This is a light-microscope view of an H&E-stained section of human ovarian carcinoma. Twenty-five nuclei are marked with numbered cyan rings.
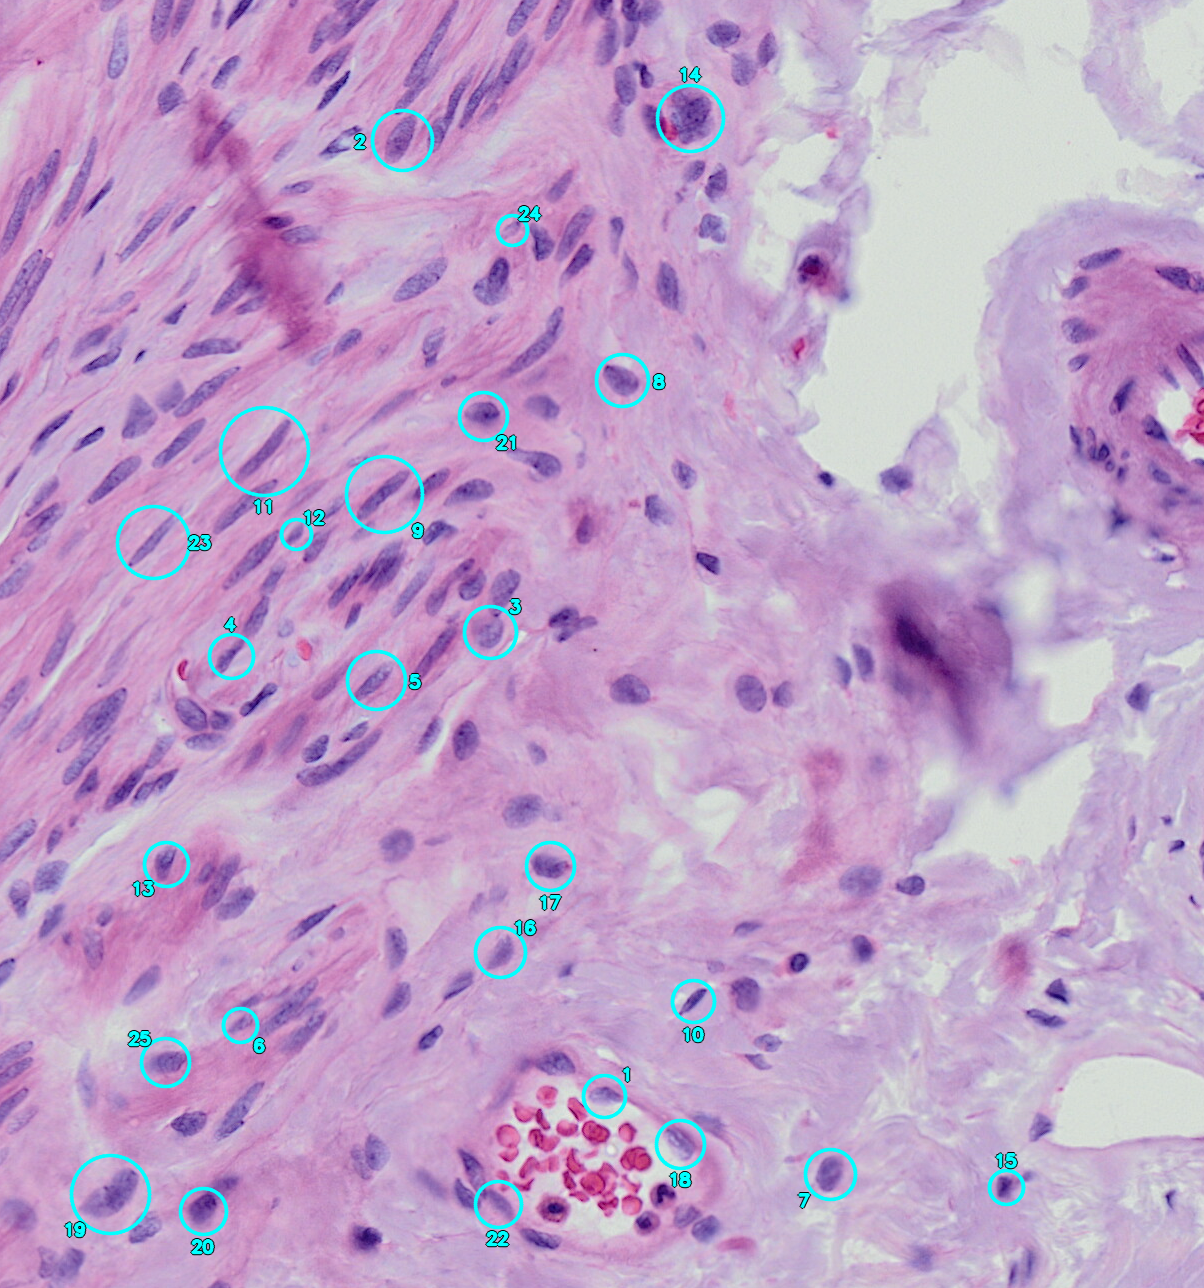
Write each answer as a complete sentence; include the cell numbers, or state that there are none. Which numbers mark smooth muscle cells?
The cells which carry the numbers 2, 4, 5, 6, 9, 11, 12, 13, 23, 24 and 25 are smooth muscle cells.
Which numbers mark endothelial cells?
The cells referred to by numbers 1, 14, 18, 20 and 22 are endothelial cells.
